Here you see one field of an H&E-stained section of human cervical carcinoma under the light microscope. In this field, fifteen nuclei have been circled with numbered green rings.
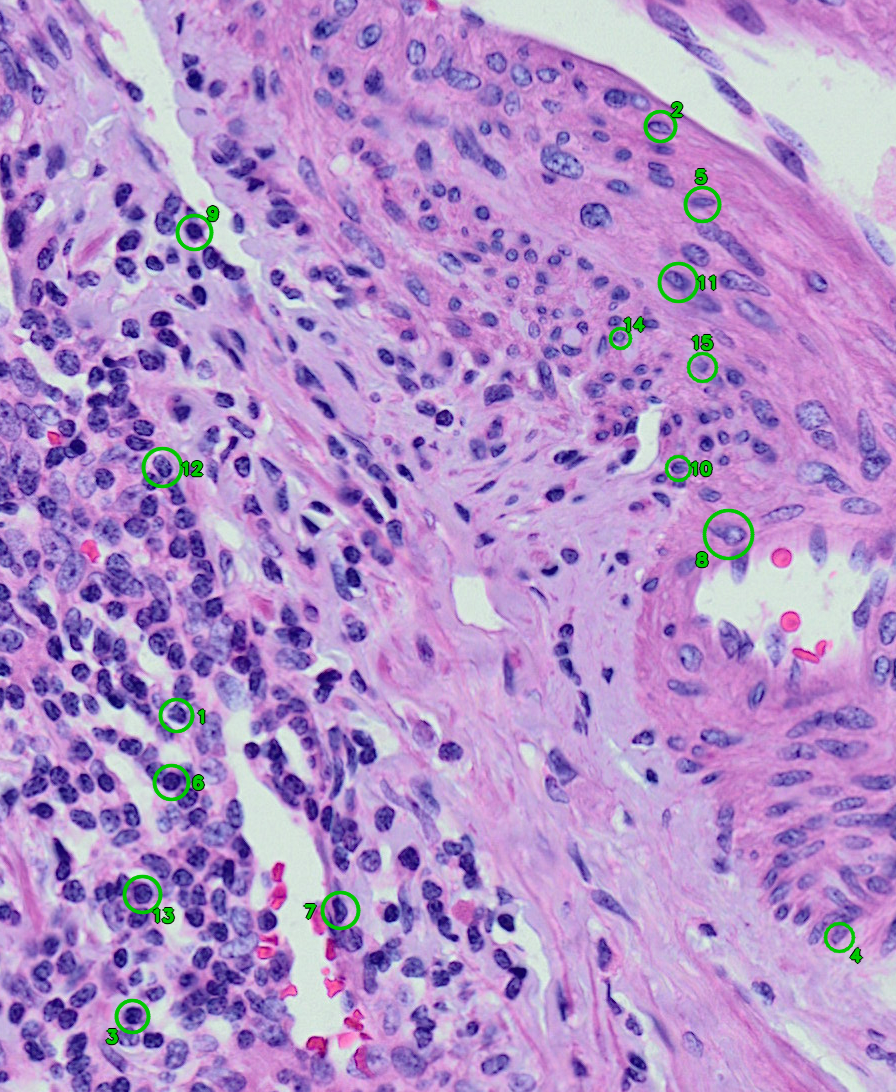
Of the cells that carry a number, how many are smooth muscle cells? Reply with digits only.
8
